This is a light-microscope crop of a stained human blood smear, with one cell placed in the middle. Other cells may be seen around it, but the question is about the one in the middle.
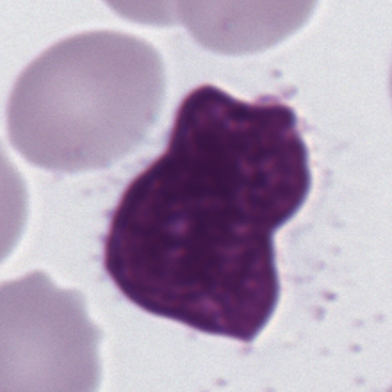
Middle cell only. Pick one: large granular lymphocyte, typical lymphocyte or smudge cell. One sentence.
In the center of this field lies a smudge cell.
